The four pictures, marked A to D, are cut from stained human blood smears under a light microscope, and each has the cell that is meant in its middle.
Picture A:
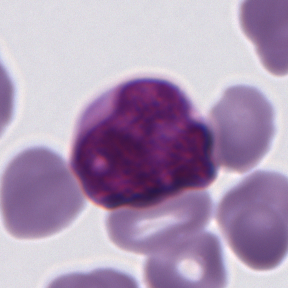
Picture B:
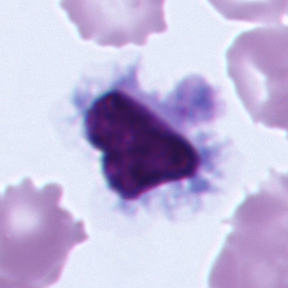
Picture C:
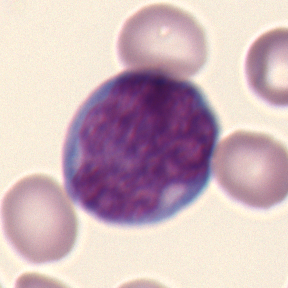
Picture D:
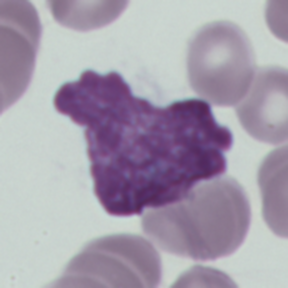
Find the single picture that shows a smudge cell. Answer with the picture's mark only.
D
